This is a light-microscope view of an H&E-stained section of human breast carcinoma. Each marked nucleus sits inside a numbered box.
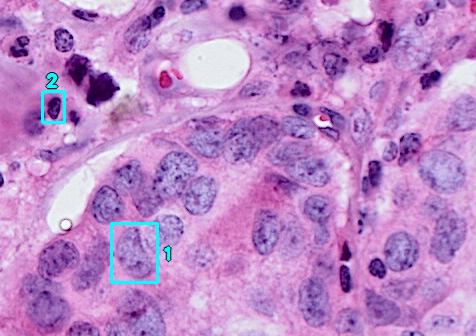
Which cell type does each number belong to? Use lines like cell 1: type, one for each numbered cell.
cell 1: carcinoma cell
cell 2: lymphocyte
